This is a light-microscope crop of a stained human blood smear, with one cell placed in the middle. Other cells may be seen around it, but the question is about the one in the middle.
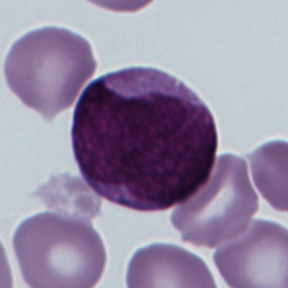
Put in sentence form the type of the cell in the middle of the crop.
Answering briefly, the cell in the middle is a myeloblast.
